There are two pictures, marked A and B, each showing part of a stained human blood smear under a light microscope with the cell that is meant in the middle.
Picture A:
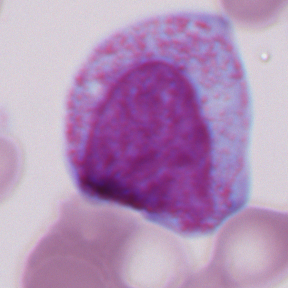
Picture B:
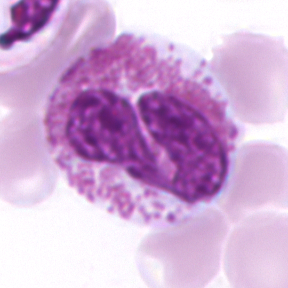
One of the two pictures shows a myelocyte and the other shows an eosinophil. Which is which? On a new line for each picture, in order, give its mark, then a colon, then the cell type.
A: myelocyte
B: eosinophil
